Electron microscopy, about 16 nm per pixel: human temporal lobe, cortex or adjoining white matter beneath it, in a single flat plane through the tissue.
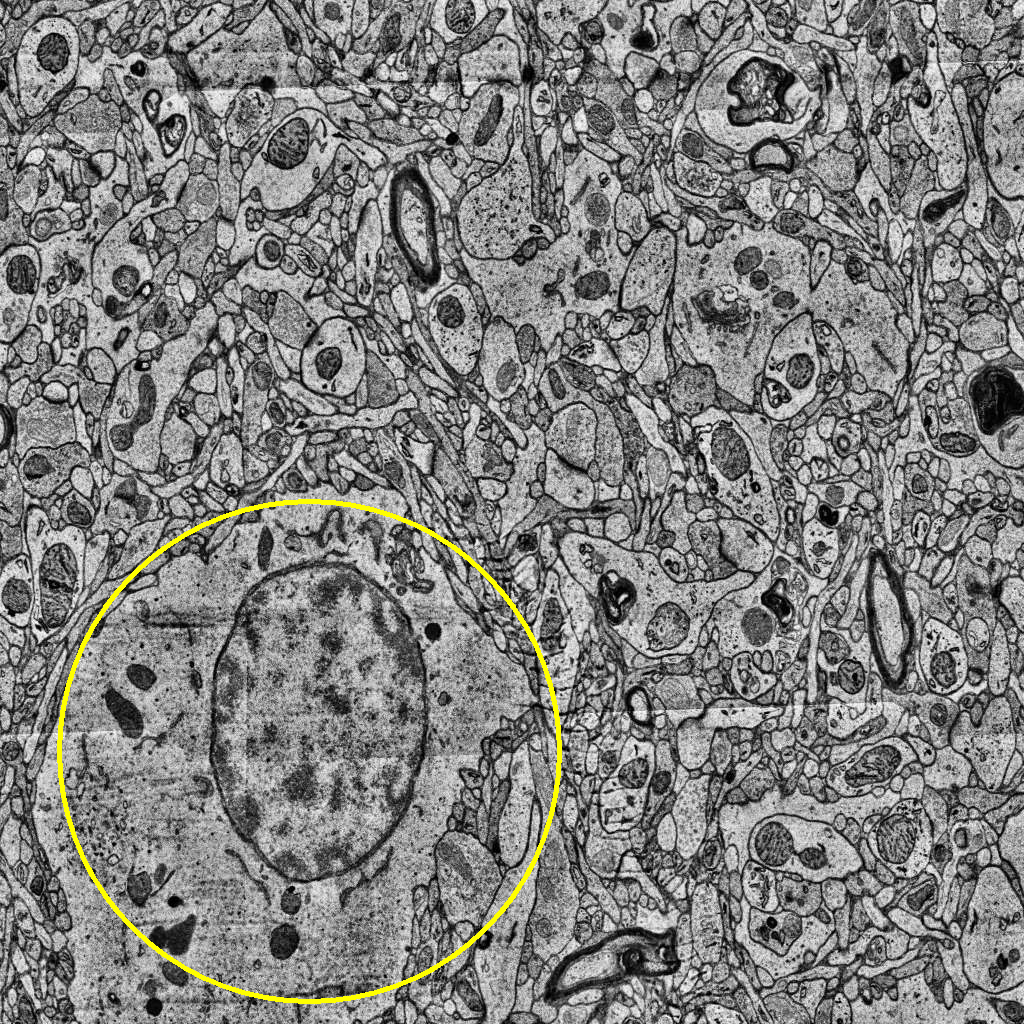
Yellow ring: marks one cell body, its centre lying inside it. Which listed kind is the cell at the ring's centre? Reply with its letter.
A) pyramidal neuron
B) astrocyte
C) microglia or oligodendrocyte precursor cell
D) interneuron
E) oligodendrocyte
B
